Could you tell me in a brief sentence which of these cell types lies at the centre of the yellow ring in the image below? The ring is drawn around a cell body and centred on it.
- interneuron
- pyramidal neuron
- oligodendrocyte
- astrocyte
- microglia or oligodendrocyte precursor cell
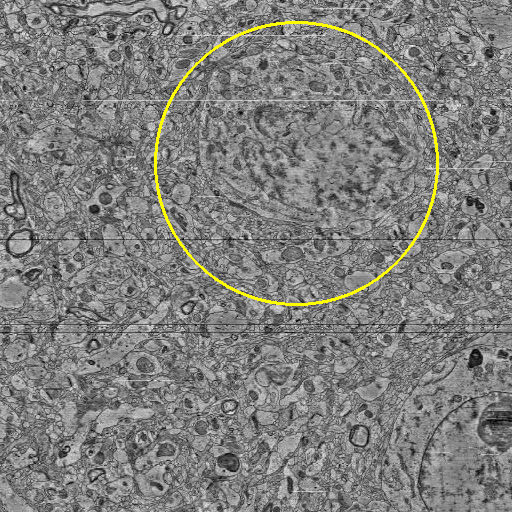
The cell centred in the ring is an interneuron.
